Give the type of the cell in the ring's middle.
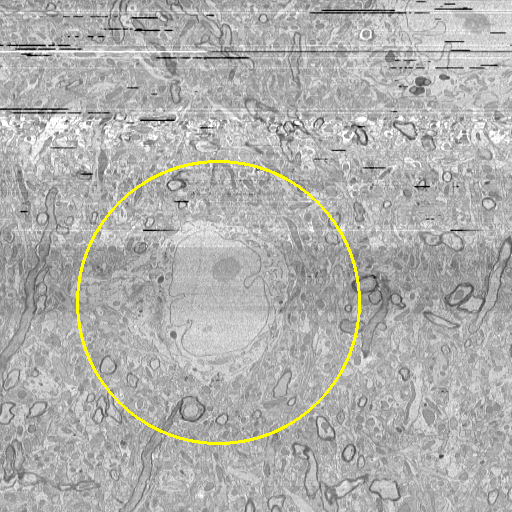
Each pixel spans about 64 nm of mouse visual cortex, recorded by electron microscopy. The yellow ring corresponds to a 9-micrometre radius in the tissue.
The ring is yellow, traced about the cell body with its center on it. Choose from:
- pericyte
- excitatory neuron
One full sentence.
Here, an excitatory neuron is the cell lying at the center of the yellow ring.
